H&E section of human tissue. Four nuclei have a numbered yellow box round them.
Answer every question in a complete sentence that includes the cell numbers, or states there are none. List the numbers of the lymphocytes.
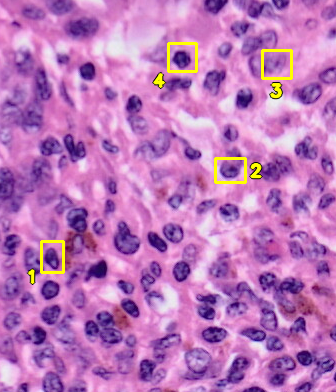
The cells given the numbers 1, 2 and 4 are lymphocytes.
